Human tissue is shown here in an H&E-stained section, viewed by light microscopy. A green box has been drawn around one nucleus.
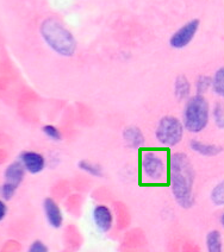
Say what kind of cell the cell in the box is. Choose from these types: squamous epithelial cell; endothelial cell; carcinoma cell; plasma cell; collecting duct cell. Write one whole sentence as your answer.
The identity of the cell in the box: it is a collecting duct cell.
